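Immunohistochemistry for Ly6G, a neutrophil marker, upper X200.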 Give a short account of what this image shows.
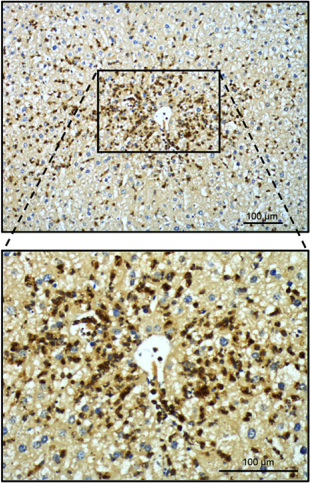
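The background cytoplasm has a diffuse pale brown tinge. Dense clusters of small, intensely brown cells crowd around the central vessel lumen and spread outward along the spaces between the hepatocyte cords, becoming sparser further away. The enlarged lower view shows these cells as compact, dark and irregular, much smaller than the hepatocytes, packed tightly around the vessel.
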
